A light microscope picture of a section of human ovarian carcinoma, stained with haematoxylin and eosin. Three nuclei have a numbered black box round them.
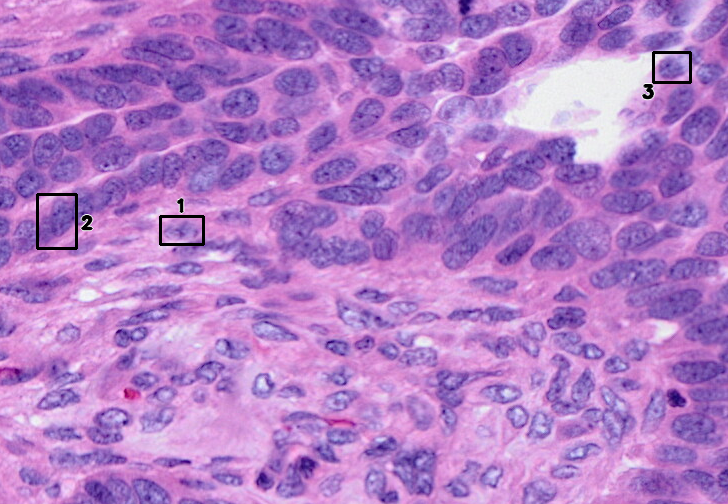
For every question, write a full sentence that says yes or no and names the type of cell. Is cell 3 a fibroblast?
No, the cell under number 3 is a carcinoma cell, not a fibroblast.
